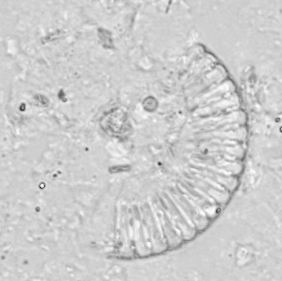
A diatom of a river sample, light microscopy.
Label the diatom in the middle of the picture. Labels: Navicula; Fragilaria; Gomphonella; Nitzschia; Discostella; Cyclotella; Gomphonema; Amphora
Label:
Cyclotella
